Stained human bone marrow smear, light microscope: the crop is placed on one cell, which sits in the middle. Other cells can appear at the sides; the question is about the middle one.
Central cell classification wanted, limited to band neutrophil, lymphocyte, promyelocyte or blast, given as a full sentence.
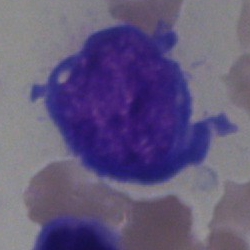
Standing at the centre of this crop is a blast.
